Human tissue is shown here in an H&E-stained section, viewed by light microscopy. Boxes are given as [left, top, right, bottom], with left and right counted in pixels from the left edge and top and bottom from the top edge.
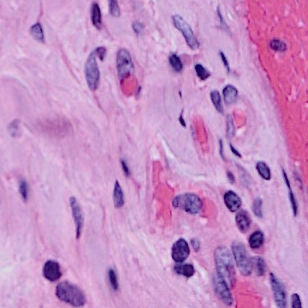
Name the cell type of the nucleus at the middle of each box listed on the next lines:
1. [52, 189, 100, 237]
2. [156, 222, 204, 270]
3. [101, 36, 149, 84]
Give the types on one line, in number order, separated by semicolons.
fibroblast; lymphocyte; endothelial cell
